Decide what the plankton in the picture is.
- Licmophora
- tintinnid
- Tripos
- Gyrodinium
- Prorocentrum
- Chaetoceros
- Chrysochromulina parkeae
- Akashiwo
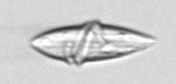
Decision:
Gyrodinium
